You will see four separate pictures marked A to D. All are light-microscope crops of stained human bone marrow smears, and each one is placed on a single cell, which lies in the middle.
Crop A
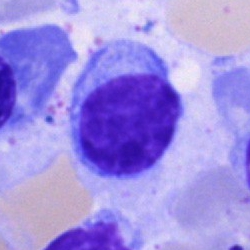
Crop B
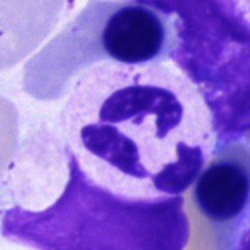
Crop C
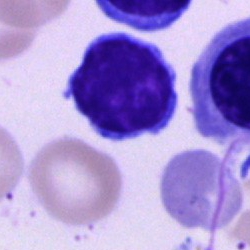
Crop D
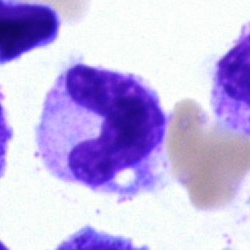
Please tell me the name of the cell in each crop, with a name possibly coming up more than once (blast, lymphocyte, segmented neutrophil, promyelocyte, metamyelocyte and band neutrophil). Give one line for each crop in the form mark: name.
A: lymphocyte
B: segmented neutrophil
C: lymphocyte
D: band neutrophil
